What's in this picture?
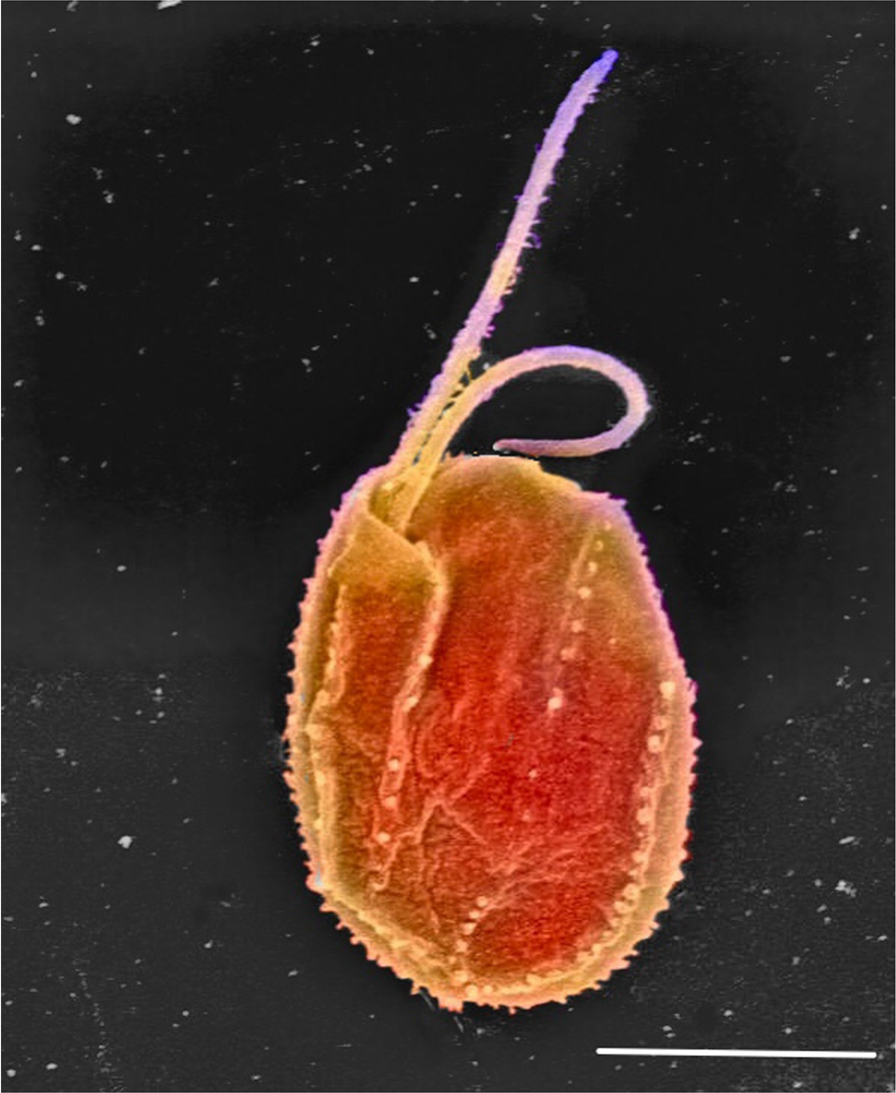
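Single flat, asymmetric oval flagellate cell seen by scanning electron microscopy, with two flagella of unequal appearance emerging together from a folded recess at its anterior end, one straight and long, the other curled back. The cell surface is finely textured and bordered by fine projections, with ridges and rows of small dots running lengthwise along the body, consistent with light surface plating.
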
